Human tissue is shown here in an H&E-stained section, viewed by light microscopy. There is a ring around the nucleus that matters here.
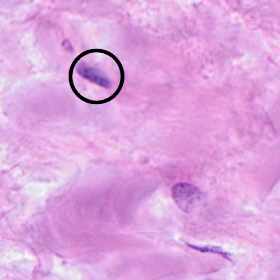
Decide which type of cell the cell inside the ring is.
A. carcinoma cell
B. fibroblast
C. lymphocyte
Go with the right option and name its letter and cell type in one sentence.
With the cell inside the ring being a fibroblast, option B is correct.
